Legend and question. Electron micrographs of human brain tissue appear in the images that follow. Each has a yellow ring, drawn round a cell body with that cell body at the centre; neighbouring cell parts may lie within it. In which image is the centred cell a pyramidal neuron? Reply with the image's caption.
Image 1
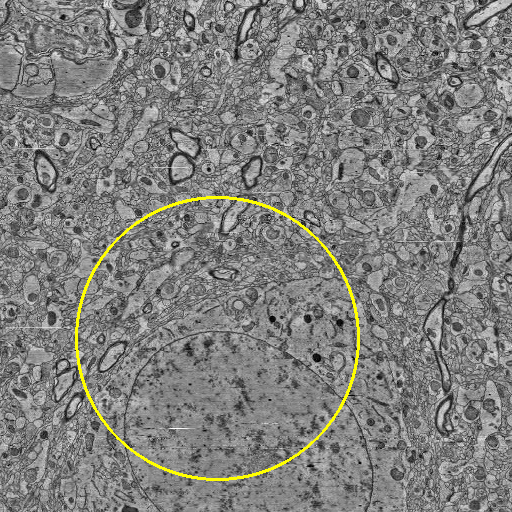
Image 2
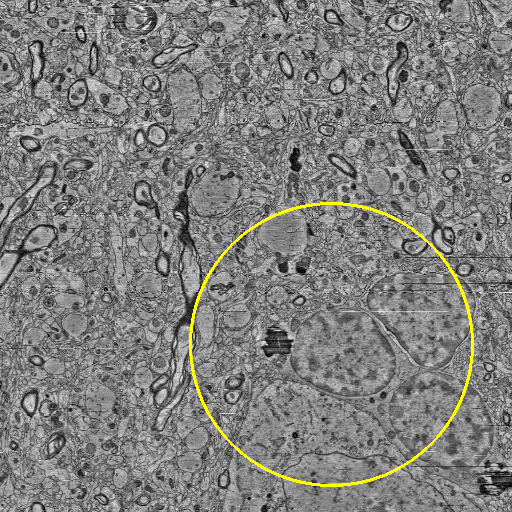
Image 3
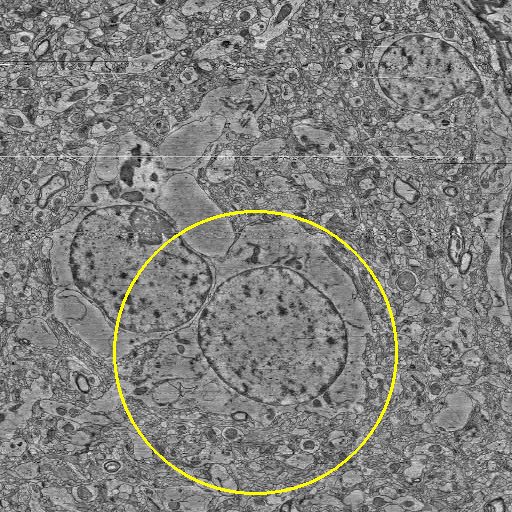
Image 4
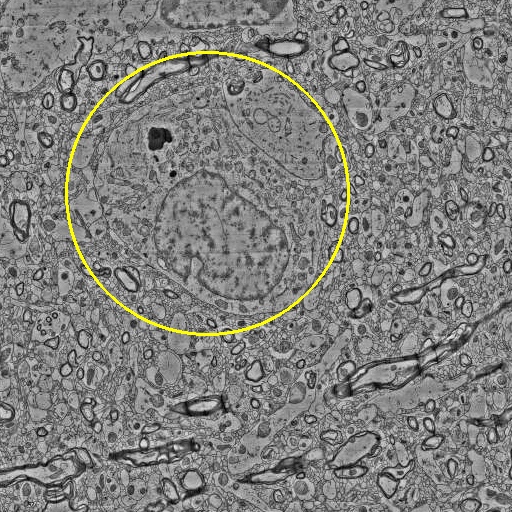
Image 1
